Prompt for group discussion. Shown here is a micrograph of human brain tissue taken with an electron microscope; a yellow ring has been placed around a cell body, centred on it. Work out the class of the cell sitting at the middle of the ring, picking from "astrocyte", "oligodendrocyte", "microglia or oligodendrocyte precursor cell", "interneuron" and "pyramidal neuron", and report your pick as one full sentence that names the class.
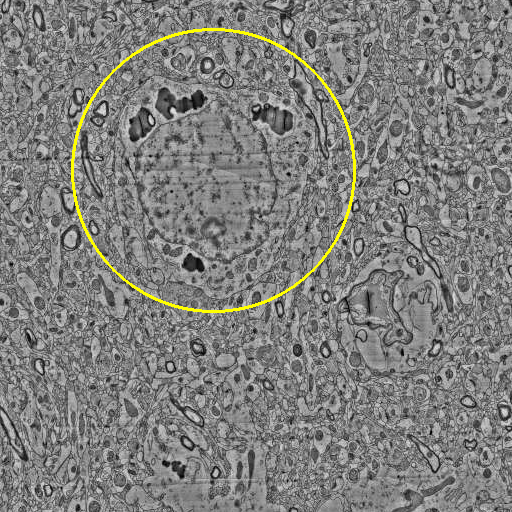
The cell sitting at the middle of the yellow ring is an interneuron.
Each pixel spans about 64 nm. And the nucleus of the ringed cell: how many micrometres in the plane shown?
Roughly 11 by 9 micrometres in this plane, for the nucleus of the ringed cell.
